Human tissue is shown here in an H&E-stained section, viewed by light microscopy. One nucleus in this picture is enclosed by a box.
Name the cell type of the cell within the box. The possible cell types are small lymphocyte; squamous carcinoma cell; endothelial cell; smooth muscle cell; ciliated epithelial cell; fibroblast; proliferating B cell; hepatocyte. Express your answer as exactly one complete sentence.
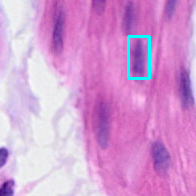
As a matter of cell type, the cell within the box is a smooth muscle cell.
